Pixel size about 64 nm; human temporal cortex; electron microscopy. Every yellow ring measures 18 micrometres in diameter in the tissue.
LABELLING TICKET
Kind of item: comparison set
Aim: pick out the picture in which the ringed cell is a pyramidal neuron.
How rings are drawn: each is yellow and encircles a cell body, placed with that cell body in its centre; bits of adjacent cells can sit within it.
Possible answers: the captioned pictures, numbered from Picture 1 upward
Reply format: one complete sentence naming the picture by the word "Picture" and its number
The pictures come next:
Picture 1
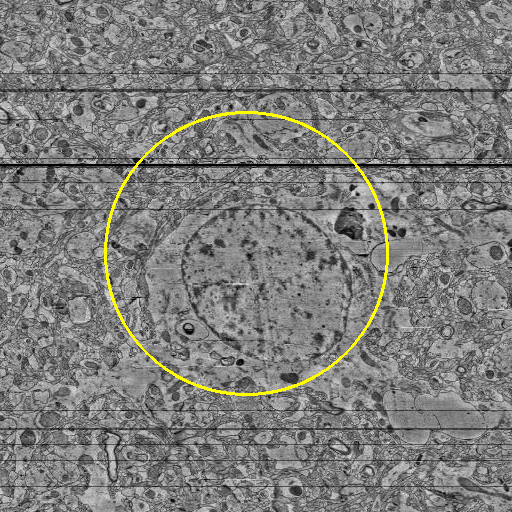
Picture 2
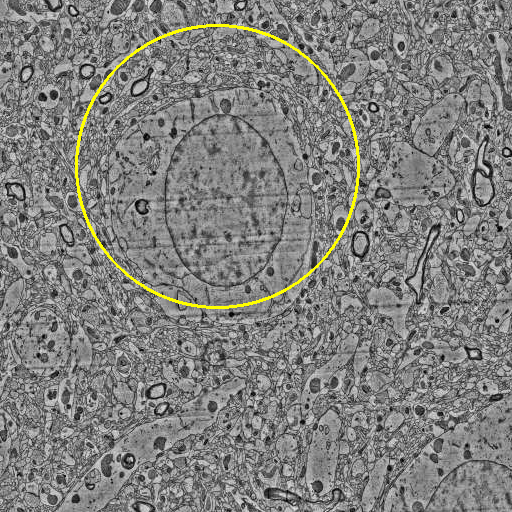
The cell centred inside the yellow ring in Picture 2 is the requested one.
